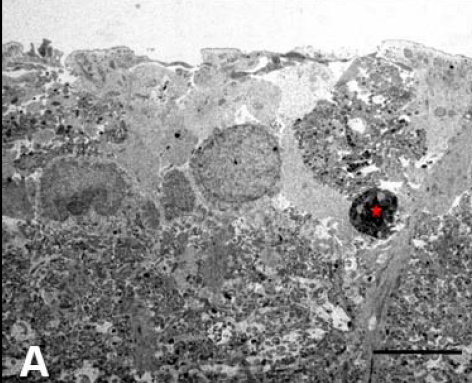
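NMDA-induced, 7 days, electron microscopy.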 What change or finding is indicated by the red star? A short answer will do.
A: necrotic cell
